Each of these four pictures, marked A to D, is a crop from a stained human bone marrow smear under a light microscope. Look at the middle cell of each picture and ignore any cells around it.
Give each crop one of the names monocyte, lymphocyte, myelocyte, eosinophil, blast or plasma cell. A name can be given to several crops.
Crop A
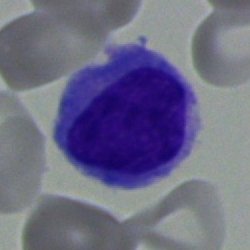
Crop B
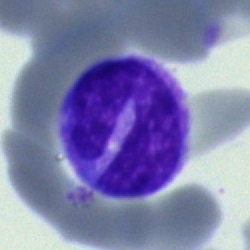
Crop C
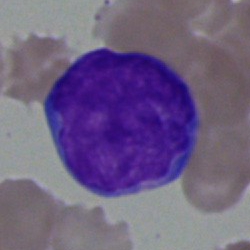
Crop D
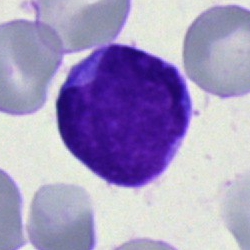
A: monocyte
B: monocyte
C: blast
D: blast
